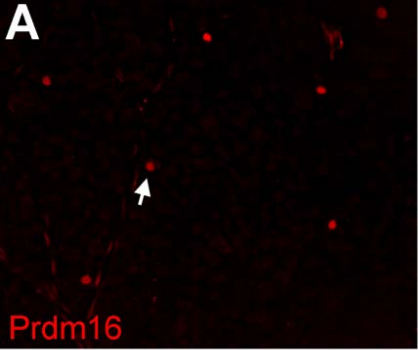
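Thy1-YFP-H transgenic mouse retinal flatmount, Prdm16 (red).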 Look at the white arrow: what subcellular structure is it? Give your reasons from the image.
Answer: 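Nucleus. The arrow points to a small round red dot. Similar small round red dots are scattered across the field.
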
